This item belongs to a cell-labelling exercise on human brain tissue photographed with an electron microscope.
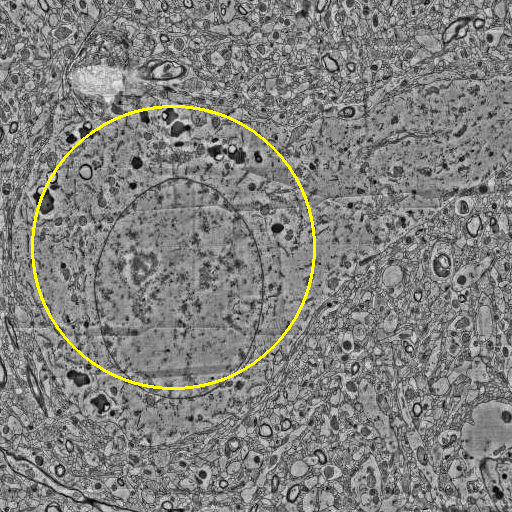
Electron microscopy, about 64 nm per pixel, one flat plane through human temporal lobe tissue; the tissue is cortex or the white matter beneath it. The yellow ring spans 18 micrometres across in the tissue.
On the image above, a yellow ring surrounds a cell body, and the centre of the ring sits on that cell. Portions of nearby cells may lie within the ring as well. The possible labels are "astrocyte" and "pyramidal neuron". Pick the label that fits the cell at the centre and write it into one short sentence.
This cell should be labelled as a pyramidal neuron.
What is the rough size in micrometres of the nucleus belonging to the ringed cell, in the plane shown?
About 14 by 11 micrometers, in this plane.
